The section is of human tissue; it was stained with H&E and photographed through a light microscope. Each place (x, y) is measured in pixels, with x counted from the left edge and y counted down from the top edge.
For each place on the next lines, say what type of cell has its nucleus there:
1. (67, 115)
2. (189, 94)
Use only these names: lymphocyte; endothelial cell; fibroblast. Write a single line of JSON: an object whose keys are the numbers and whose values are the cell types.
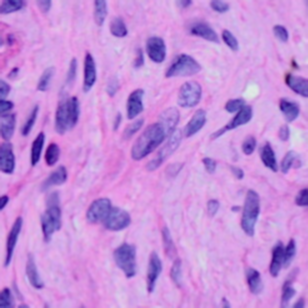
{"1": "fibroblast", "2": "endothelial cell"}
